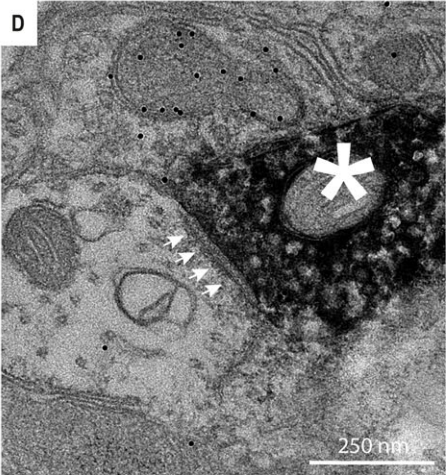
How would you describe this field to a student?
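A dark, precipitate-filled axon terminal containing a mitochondrion lies against a pale dendrite in this electron micrograph of neuropil. Along the straight stretch where their membranes meet, a synapse is formed. The pale dendrite contains scattered small organelles and membranous profiles.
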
